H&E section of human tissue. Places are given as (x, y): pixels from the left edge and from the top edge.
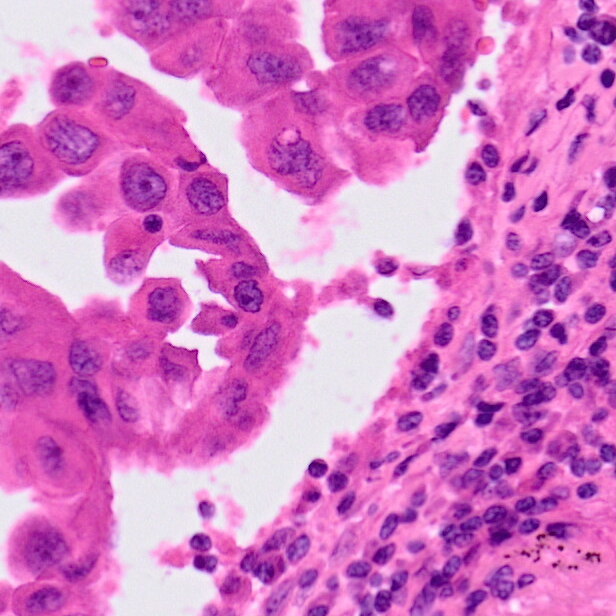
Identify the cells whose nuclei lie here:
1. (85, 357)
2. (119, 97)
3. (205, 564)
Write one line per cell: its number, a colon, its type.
1: carcinoma cell
2: carcinoma cell
3: lymphocyte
